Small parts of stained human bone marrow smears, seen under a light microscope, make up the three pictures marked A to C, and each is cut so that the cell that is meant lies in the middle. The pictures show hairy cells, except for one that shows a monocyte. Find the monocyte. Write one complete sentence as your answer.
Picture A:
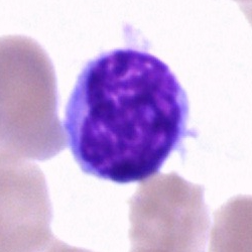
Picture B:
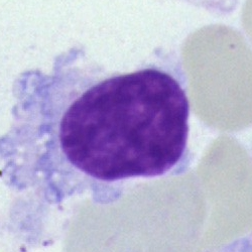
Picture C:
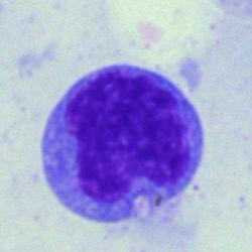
Picture C shows the monocyte.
